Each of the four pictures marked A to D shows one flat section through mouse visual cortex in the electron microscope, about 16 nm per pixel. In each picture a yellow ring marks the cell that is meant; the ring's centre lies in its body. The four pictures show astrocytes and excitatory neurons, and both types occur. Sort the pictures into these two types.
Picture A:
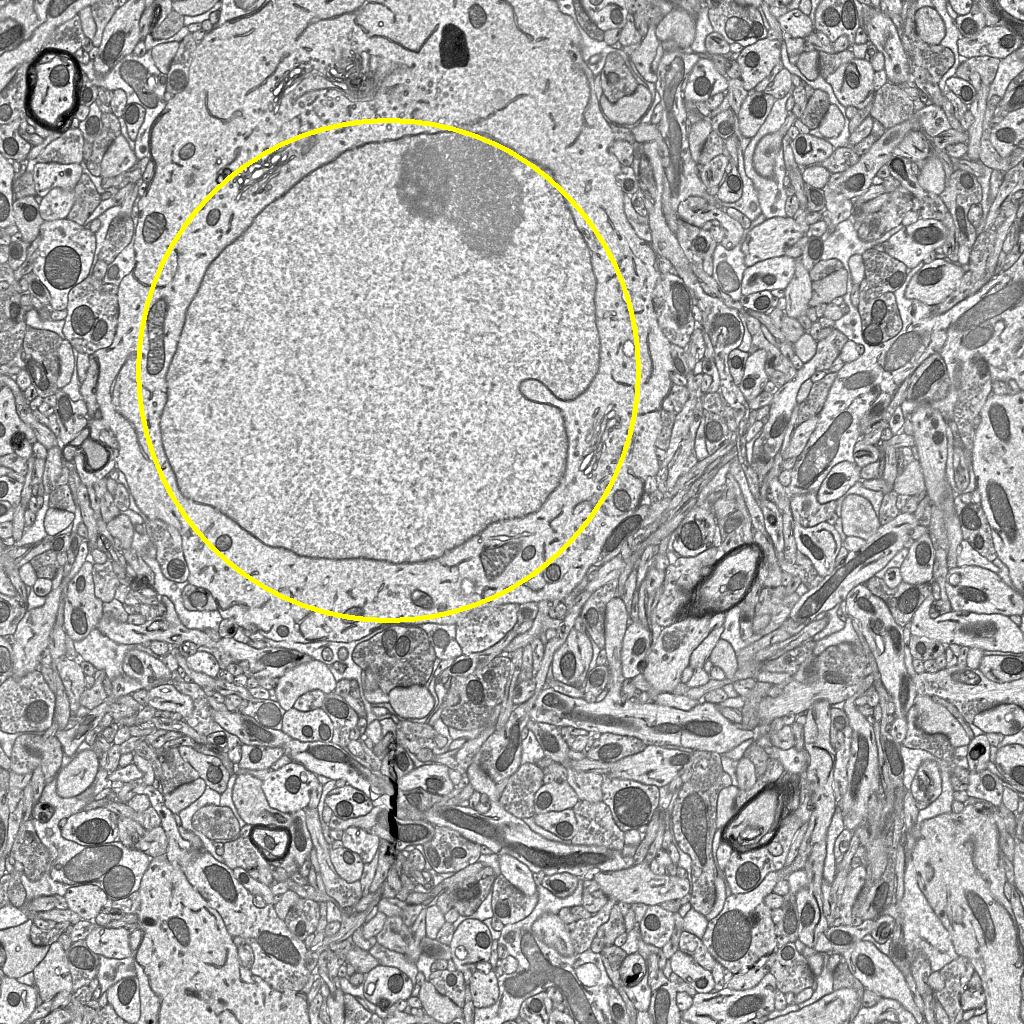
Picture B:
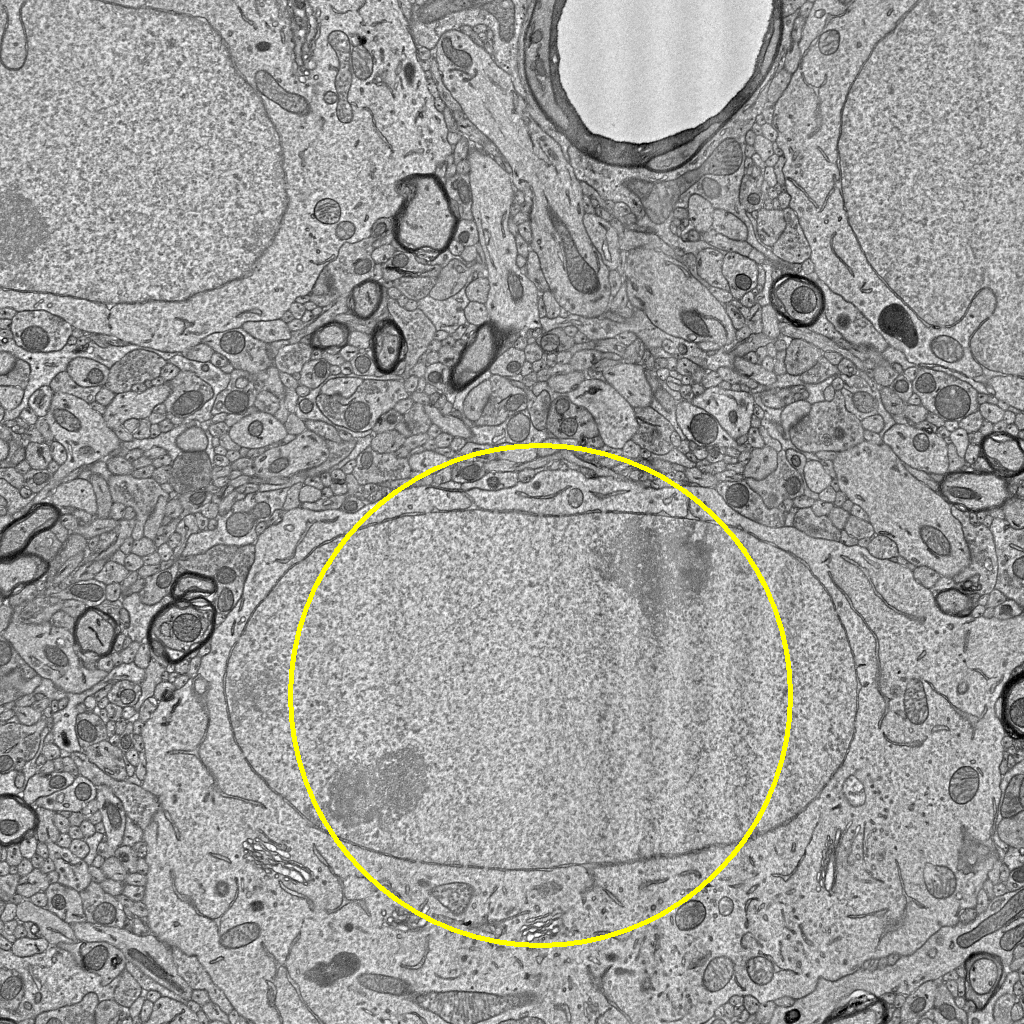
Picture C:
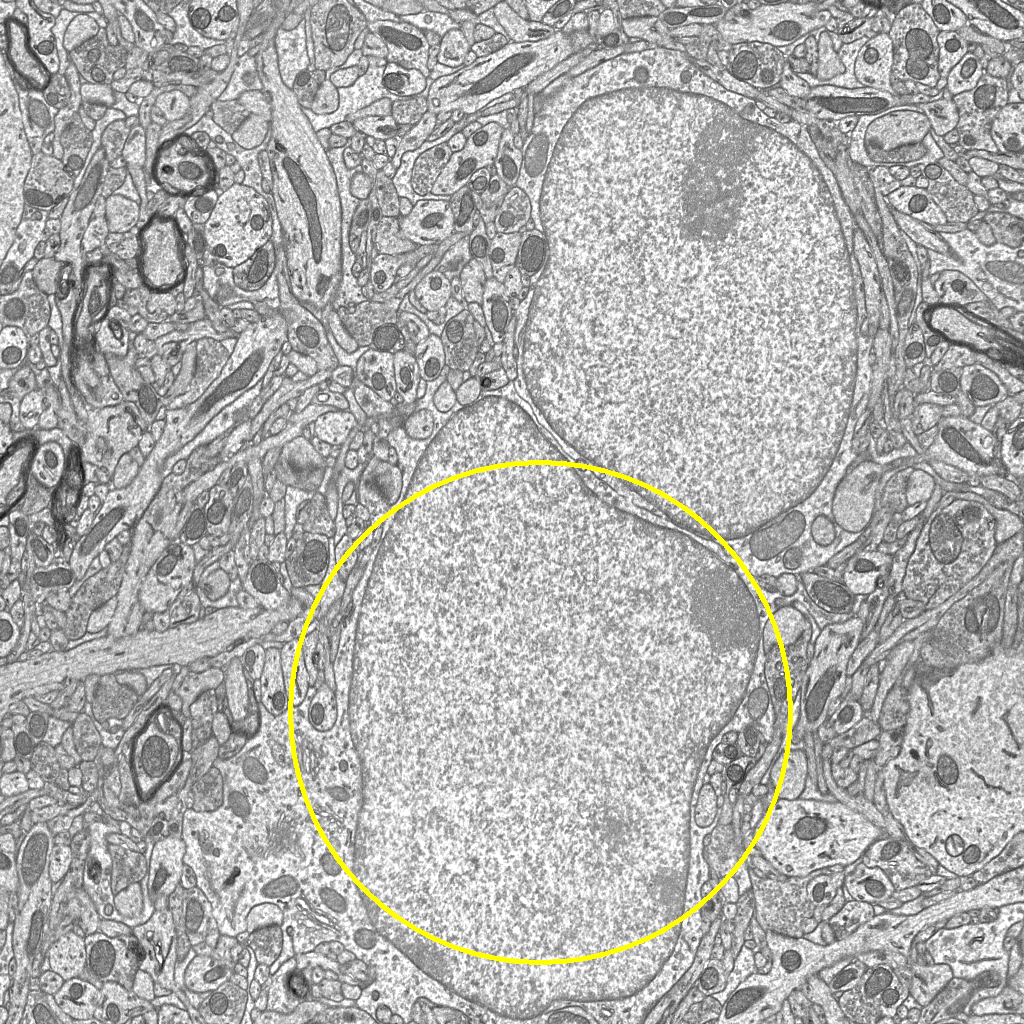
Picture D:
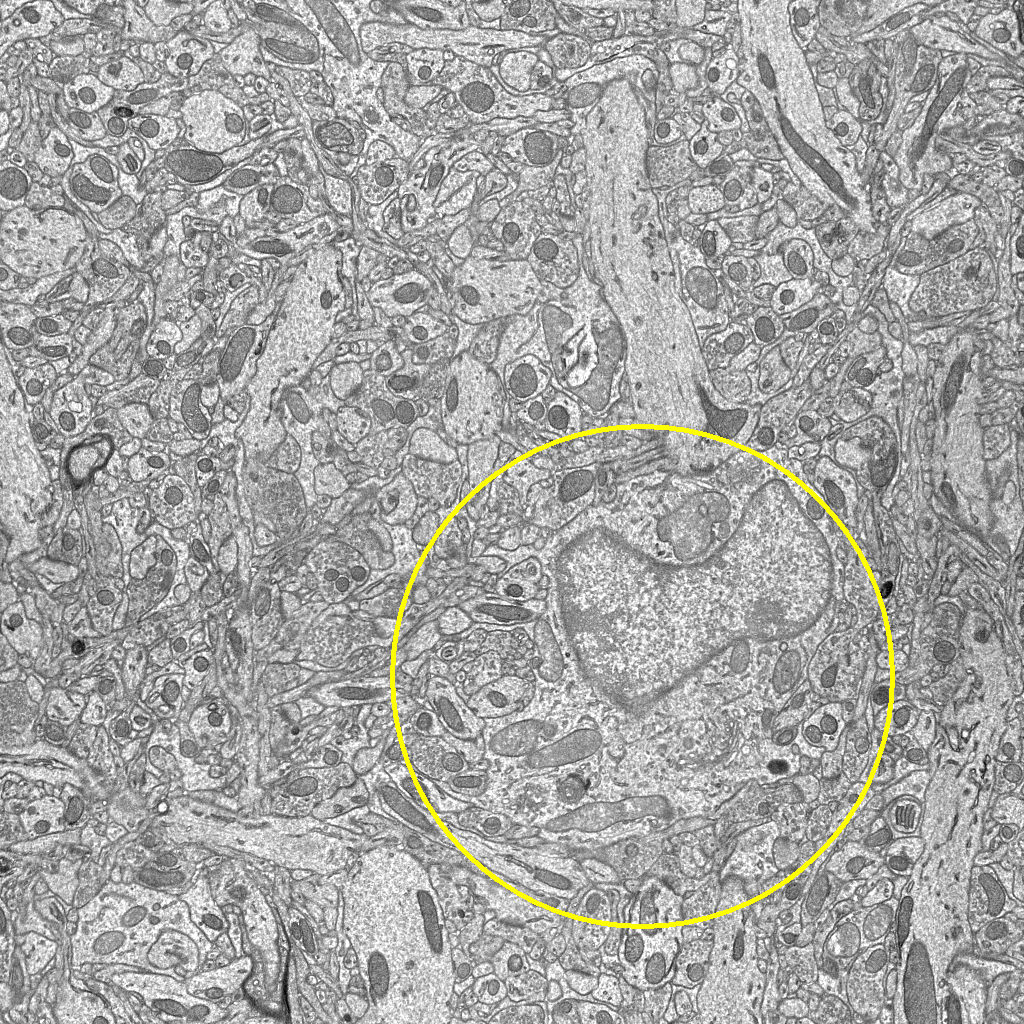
Pictures C and D show astrocytes, while pictures A and B show excitatory neurons.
